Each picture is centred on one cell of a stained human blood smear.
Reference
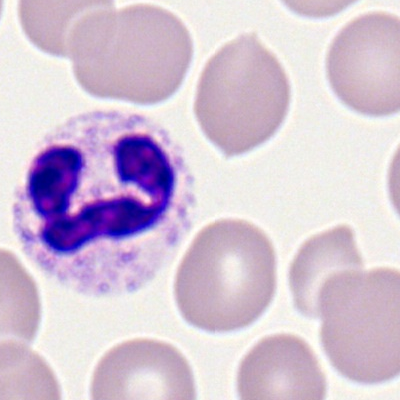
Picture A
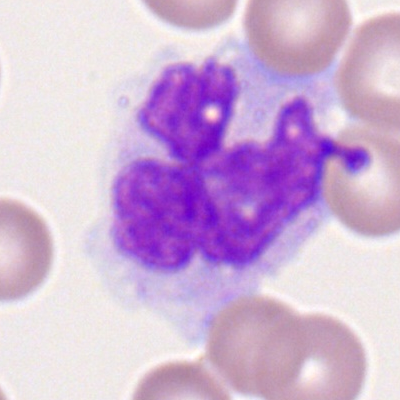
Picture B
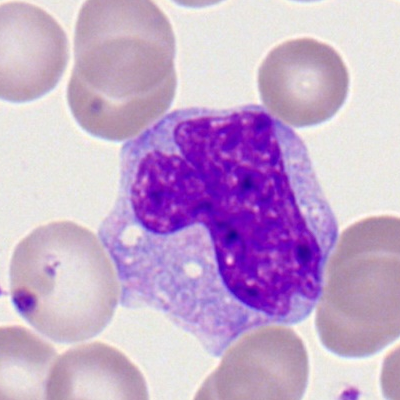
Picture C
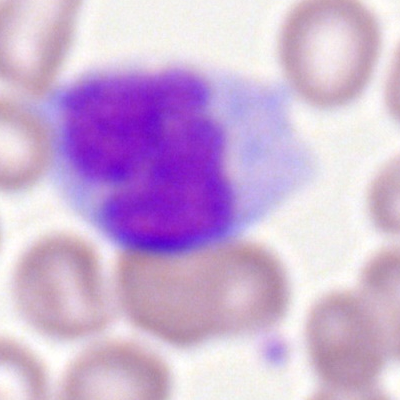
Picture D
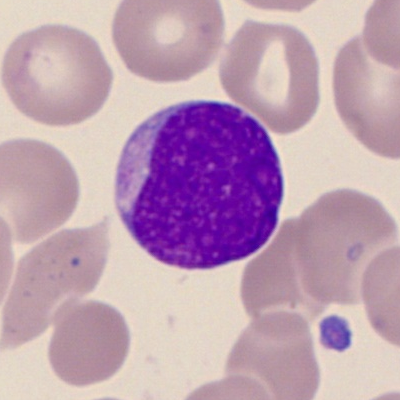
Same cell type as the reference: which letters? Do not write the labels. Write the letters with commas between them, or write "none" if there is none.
none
